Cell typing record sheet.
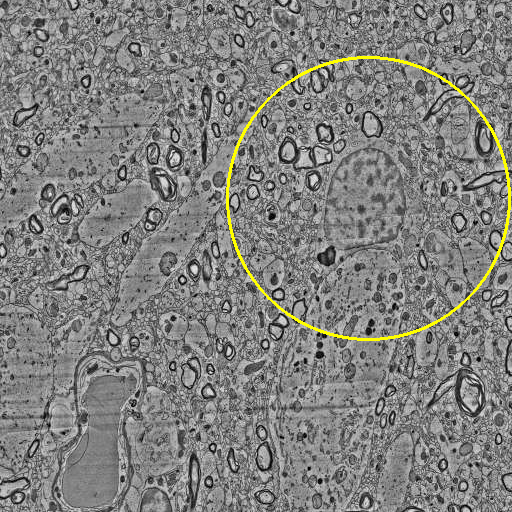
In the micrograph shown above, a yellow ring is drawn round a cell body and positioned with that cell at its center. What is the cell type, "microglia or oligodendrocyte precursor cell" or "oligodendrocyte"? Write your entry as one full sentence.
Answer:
The cell body at the center of the ring belongs to an oligodendrocyte.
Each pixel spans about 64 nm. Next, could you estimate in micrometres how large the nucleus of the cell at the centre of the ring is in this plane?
In this plane, approximately 7 by 5 micrometers.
